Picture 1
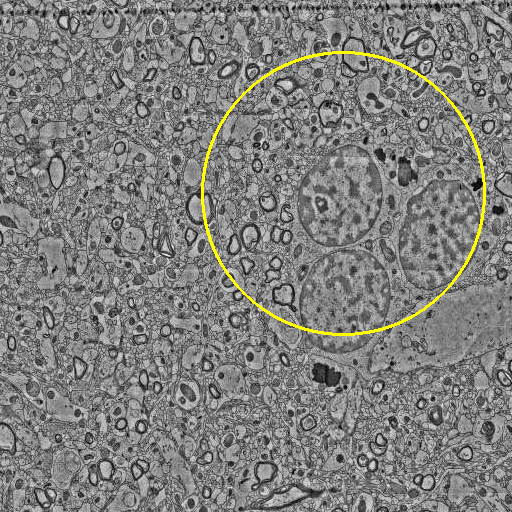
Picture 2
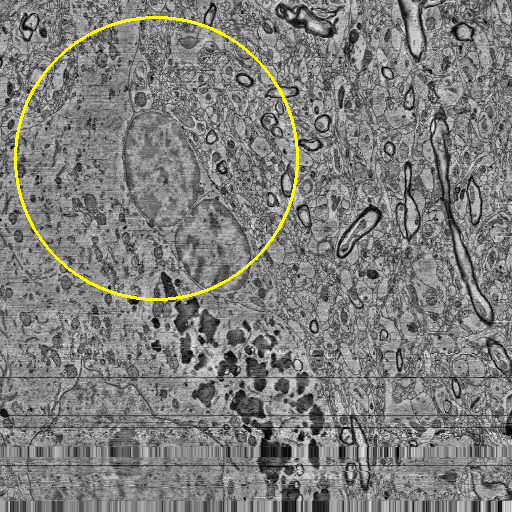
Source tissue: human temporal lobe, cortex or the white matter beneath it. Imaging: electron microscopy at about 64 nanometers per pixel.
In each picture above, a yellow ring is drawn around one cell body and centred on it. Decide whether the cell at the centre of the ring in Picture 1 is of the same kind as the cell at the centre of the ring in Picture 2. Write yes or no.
yes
